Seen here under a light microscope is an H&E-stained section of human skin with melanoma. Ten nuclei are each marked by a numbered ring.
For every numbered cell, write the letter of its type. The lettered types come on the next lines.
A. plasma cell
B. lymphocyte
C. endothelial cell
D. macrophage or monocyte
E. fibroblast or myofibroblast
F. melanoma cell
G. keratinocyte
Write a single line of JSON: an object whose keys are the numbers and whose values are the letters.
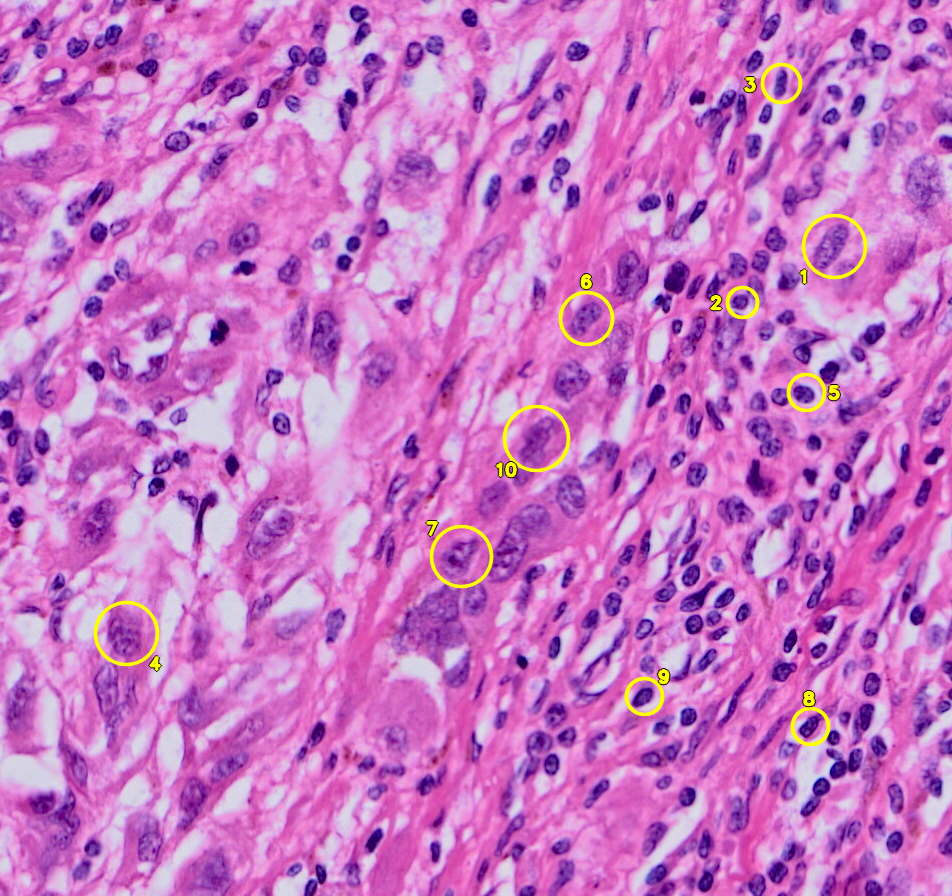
{"1": "F", "2": "B", "3": "B", "4": "F", "5": "B", "6": "F", "7": "F", "8": "B", "9": "B", "10": "F"}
